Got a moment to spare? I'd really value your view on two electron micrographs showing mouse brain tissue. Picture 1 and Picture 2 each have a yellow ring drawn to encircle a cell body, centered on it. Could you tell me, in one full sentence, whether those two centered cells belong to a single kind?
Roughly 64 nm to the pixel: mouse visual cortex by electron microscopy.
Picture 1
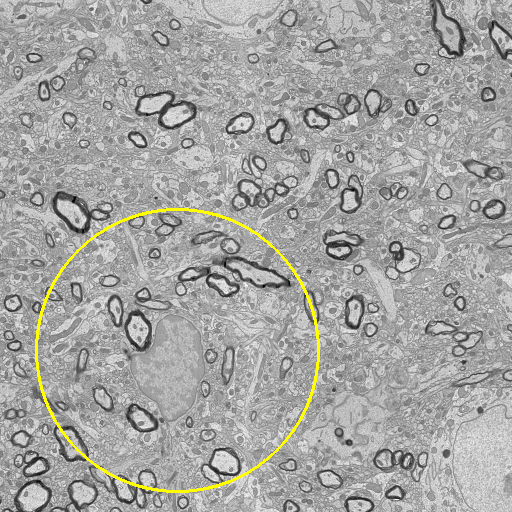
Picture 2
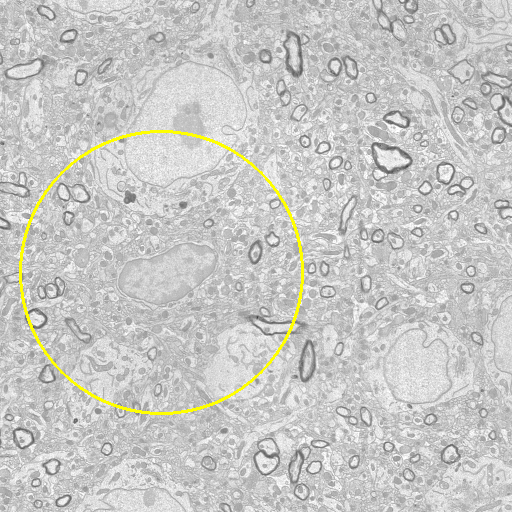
Yes, the two centered cells in Picture 1 and Picture 2 are of a single kind.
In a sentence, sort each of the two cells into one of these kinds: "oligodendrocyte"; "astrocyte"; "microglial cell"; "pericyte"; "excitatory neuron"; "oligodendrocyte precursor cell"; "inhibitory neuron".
In each of the two pictures, the ringed cell is a microglial cell.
